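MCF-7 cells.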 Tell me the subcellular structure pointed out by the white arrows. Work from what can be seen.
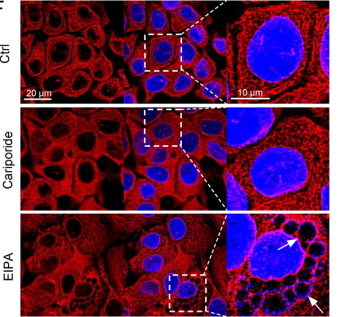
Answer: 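Vacuoles. The arrows point at round unstained spaces in the cytoplasm. The spaces crowd around the blue nucleus.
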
